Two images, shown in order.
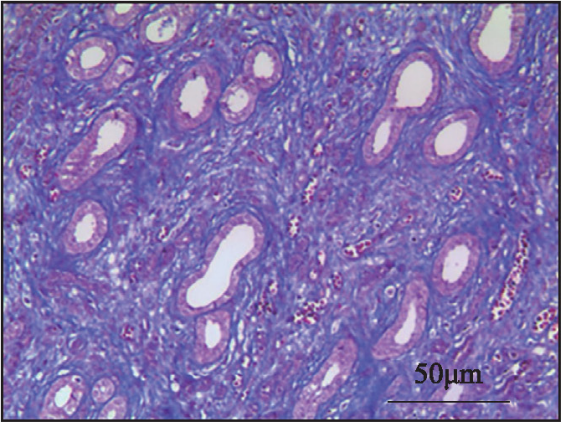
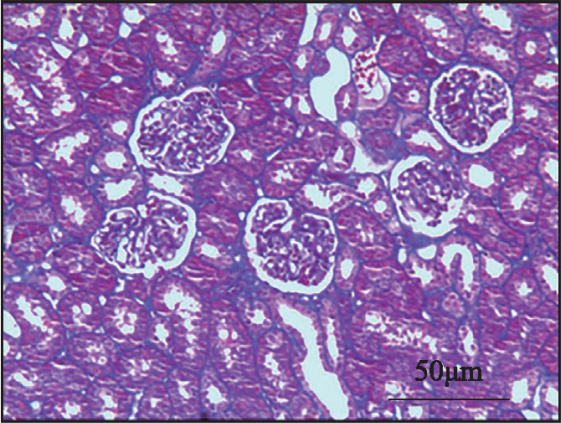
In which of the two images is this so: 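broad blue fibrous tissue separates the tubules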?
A: the first image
